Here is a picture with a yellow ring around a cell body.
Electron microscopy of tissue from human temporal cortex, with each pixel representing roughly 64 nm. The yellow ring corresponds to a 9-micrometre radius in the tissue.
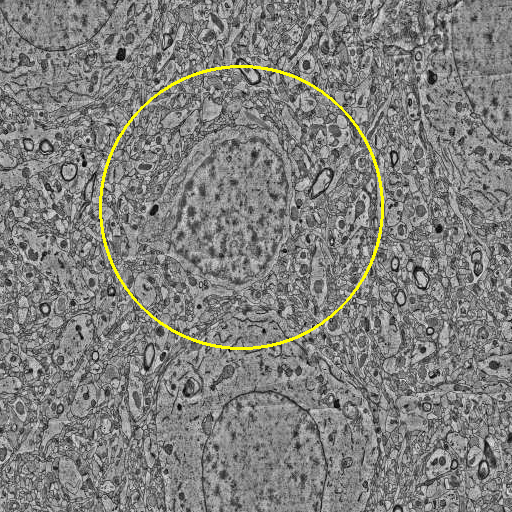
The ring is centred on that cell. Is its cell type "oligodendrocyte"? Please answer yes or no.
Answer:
no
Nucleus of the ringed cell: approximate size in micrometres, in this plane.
About 9 micrometres by about 7 micrometres in this plane.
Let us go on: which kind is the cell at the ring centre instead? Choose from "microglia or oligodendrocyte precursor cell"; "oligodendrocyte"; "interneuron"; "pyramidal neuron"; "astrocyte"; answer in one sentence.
What the ring is centred on is an interneuron.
